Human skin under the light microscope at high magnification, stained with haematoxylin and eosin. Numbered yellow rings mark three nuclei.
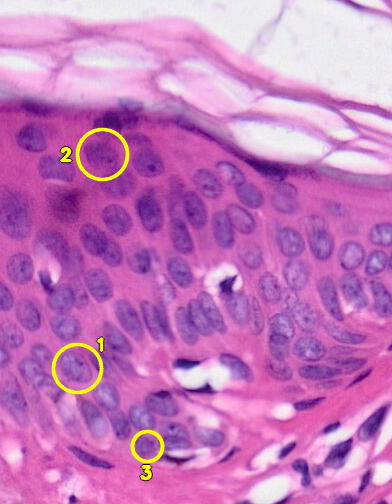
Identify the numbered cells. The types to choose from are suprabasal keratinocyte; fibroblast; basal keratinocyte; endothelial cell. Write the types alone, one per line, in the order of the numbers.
basal keratinocyte
suprabasal keratinocyte
basal keratinocyte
